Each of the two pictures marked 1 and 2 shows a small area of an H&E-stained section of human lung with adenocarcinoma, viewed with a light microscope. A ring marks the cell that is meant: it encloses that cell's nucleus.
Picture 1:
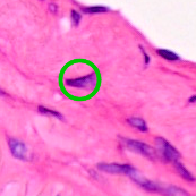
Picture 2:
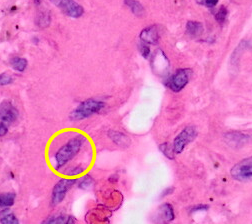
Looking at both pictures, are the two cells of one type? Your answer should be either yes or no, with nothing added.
yes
